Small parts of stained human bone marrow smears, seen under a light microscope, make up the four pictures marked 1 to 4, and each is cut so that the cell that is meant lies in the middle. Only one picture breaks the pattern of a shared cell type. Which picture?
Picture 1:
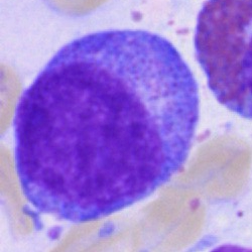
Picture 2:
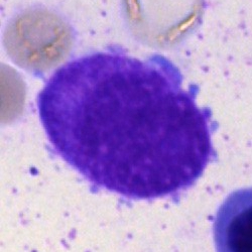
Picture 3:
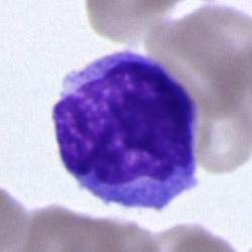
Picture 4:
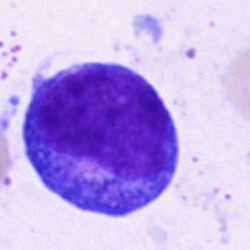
3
